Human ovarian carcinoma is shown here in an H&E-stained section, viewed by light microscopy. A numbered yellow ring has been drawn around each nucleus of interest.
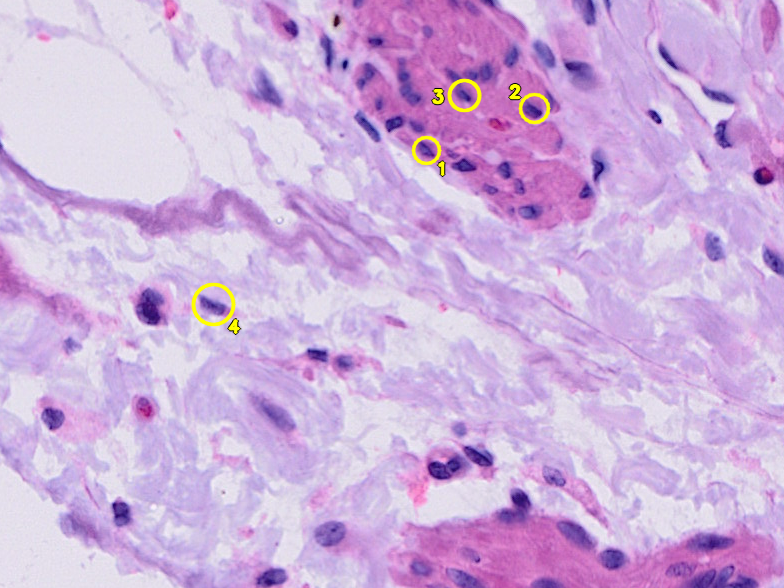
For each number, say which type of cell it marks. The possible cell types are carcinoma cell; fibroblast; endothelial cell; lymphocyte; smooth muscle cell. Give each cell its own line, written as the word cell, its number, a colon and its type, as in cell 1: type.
cell 1: smooth muscle cell
cell 2: smooth muscle cell
cell 3: smooth muscle cell
cell 4: fibroblast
